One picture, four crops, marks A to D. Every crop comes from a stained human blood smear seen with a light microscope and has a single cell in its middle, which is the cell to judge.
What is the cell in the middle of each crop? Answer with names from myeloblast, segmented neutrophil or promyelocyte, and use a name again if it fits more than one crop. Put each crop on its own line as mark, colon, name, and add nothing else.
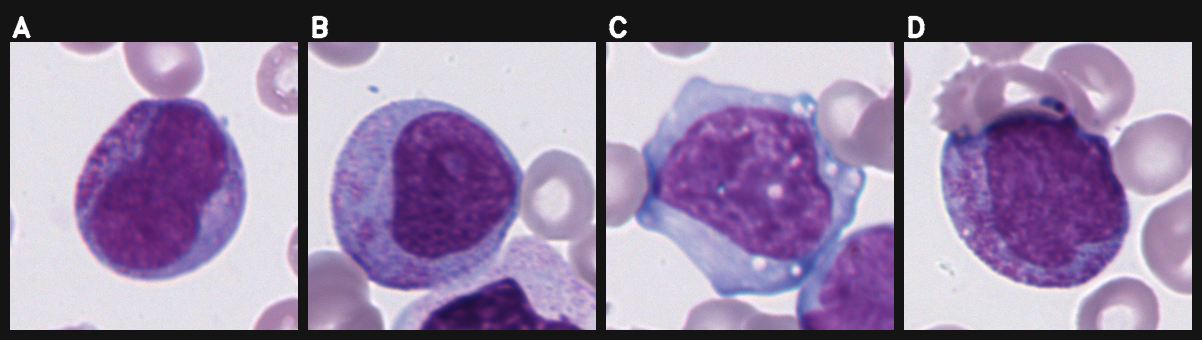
A: promyelocyte
B: promyelocyte
C: myeloblast
D: promyelocyte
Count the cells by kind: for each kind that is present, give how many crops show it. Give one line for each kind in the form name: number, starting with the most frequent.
promyelocyte: 3
myeloblast: 1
